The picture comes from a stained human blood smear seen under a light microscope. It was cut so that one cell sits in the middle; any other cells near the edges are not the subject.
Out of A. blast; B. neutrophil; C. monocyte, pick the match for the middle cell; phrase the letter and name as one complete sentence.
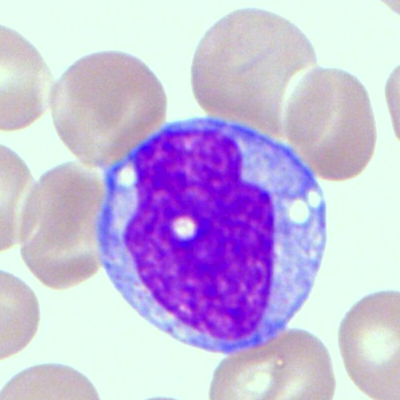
The best answer is option C, since the cell in the middle is a monocyte.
